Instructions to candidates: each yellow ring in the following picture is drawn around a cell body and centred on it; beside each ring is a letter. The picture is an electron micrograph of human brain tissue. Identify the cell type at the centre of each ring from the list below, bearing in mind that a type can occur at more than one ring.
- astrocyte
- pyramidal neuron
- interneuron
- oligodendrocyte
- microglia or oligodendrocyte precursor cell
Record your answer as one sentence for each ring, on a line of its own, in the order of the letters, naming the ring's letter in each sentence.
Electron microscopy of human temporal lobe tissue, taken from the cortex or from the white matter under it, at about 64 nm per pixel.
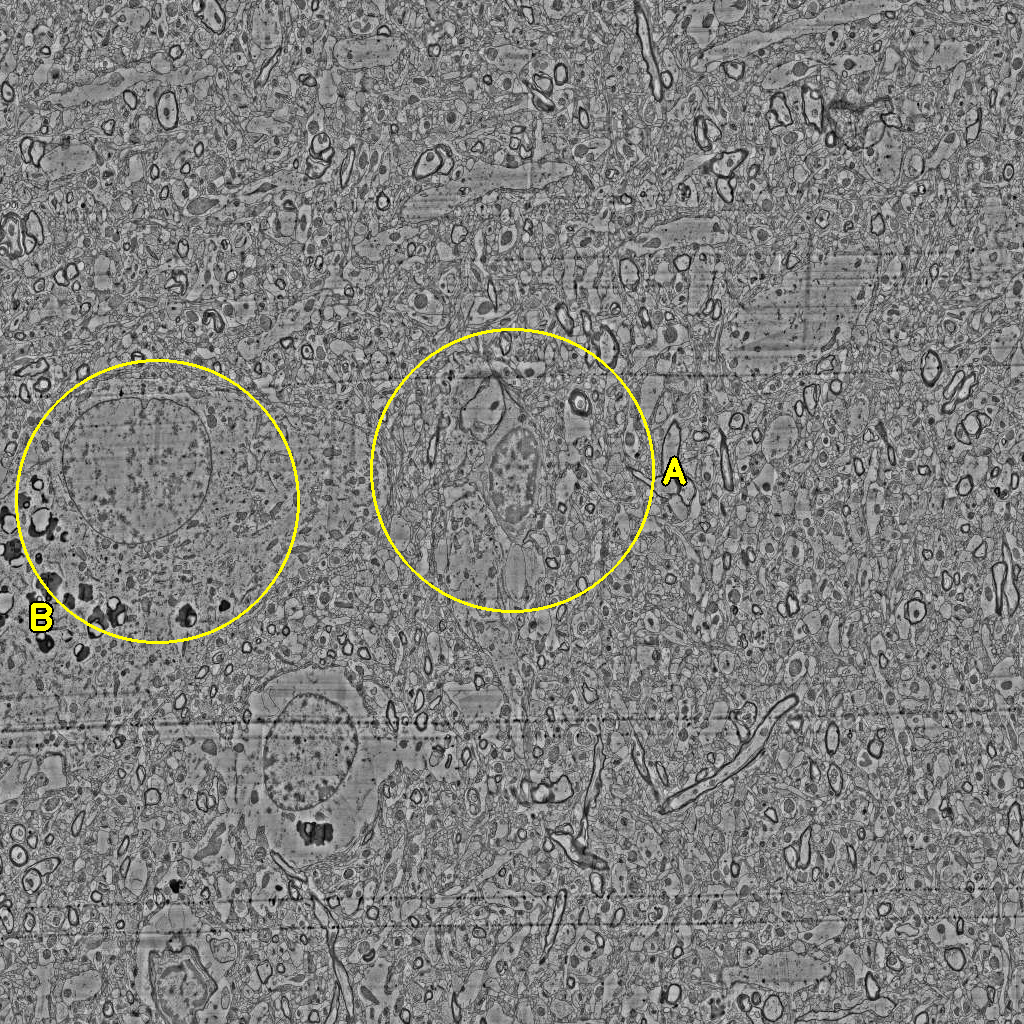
The cell centred in ring A is an oligodendrocyte.
The cell centred in ring B is a pyramidal neuron.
